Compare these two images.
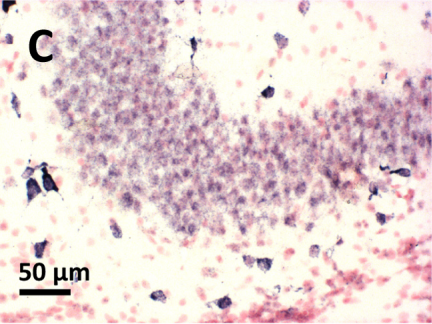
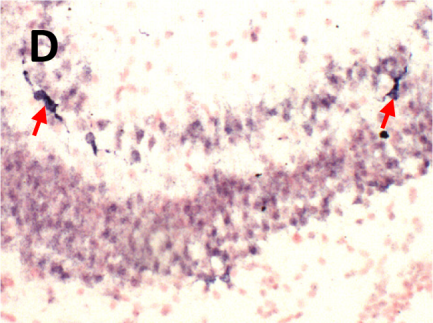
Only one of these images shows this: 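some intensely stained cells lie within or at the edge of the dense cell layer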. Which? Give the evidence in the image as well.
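First image: darkly stained cells lie mostly in the sparse zones outside the dense band. So: the second image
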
